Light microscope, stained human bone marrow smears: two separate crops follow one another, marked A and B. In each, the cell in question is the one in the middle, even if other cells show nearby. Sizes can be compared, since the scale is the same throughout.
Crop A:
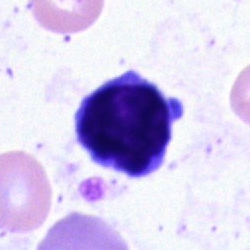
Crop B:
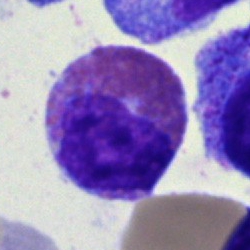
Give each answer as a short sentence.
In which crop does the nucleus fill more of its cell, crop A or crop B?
The nucleus fills more of the cell in crop A than in crop B.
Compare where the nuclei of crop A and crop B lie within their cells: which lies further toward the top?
Seen within its cell, the nucleus in crop A lies further toward the top.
